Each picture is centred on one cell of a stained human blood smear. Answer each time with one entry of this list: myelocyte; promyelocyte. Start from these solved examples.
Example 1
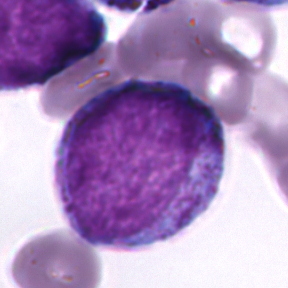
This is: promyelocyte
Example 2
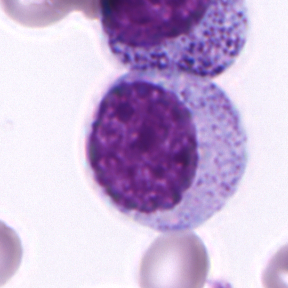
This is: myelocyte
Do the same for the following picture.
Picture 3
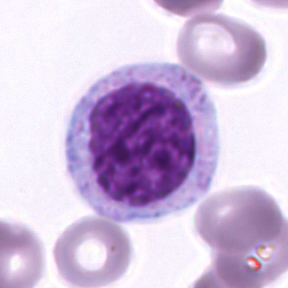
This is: myelocyte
